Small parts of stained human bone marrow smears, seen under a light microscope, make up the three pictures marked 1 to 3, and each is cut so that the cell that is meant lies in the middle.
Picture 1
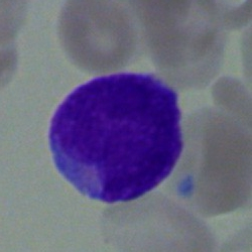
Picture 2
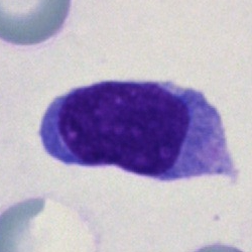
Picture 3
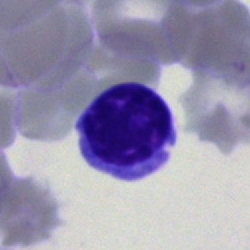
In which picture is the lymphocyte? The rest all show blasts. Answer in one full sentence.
The lymphocyte is the one in picture 3.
